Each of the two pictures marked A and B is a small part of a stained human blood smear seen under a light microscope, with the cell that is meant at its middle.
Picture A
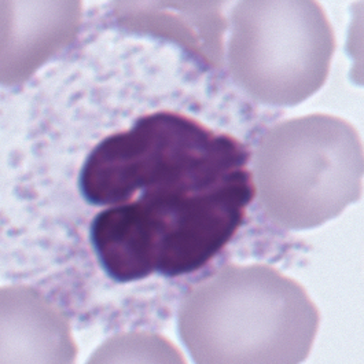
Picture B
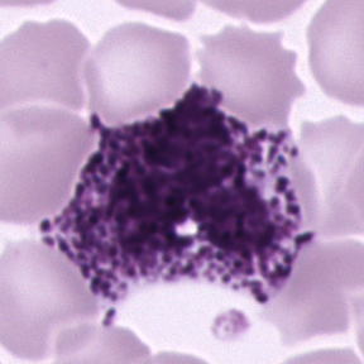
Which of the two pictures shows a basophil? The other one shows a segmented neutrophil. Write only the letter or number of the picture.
B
